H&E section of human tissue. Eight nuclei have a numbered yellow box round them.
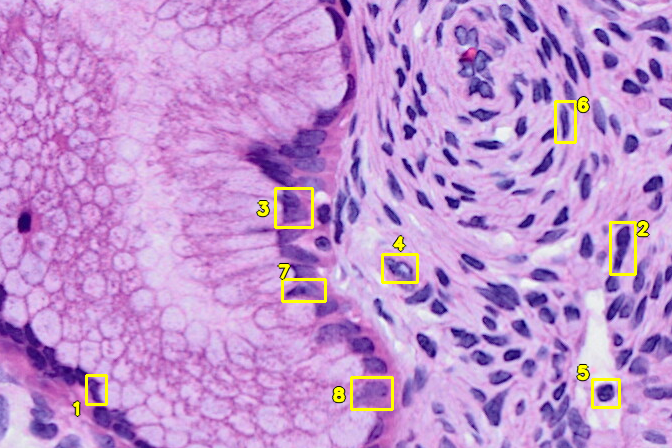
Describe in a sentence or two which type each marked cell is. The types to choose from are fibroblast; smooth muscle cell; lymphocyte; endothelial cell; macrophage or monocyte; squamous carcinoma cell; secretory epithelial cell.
Cell 1 is a secretory epithelial cell, cell 2 is a fibroblast, cell 3 is a secretory epithelial cell, cell 4 is an endothelial cell, cell 5 is a lymphocyte, cell 6 is a fibroblast, cell 7 is a secretory epithelial cell and cell 8 is a secretory epithelial cell.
